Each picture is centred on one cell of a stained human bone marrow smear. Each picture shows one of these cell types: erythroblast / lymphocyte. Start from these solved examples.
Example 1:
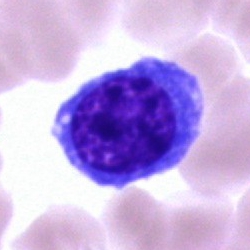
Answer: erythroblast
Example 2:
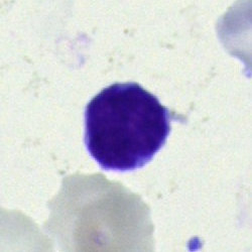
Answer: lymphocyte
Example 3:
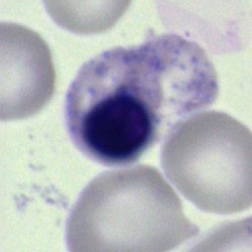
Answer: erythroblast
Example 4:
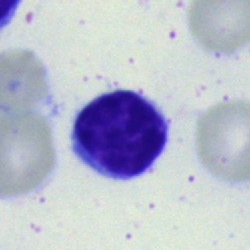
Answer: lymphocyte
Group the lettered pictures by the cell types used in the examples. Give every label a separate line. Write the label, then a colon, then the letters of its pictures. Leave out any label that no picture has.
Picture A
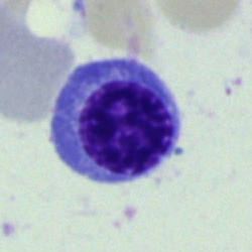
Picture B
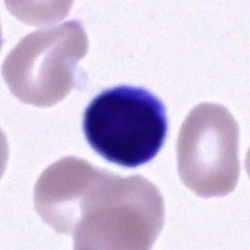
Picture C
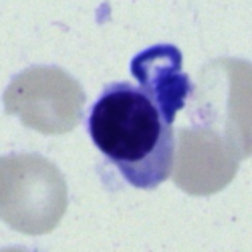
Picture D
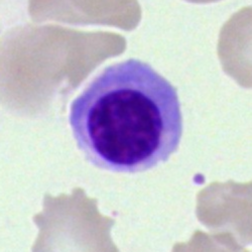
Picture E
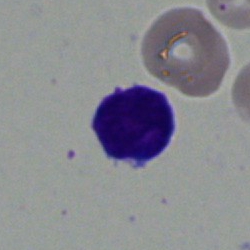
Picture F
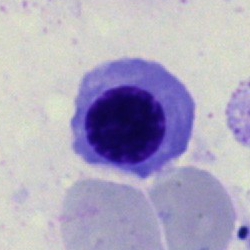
erythroblast: A, C, D, F
lymphocyte: B, E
